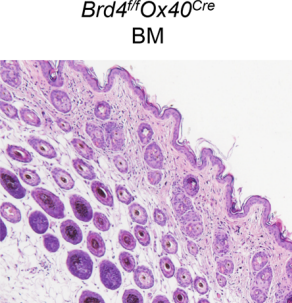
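This is a skin section with a thin epidermis on the upper right, a dermis below it and a deeper fatty layer. The dermis holds many hair follicles cut in cross section, each a ring of purple-stained epithelium around a dark pigmented hair shaft. Smaller follicles lie near the surface, and larger ones lie deeper among pale, empty-looking fat cells. Pink connective tissue with scattered nuclei lies between the follicles of the upper dermis.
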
